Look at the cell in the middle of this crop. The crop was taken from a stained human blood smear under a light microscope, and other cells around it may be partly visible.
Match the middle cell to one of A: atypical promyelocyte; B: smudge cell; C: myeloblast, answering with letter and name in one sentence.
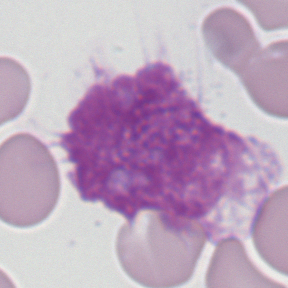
Option B correctly states that the central cell is a smudge cell.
